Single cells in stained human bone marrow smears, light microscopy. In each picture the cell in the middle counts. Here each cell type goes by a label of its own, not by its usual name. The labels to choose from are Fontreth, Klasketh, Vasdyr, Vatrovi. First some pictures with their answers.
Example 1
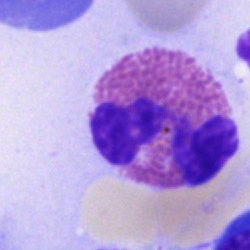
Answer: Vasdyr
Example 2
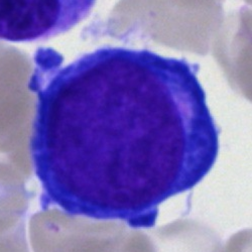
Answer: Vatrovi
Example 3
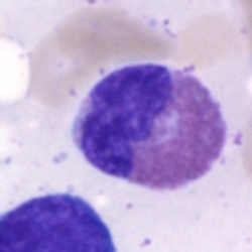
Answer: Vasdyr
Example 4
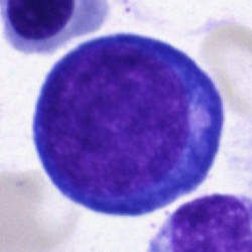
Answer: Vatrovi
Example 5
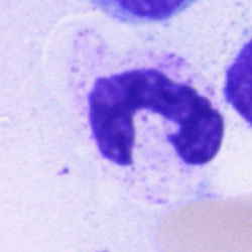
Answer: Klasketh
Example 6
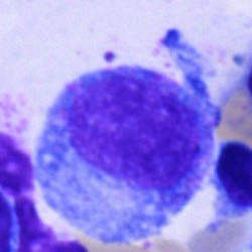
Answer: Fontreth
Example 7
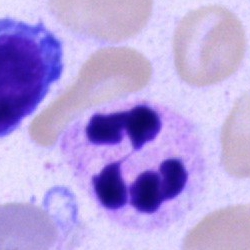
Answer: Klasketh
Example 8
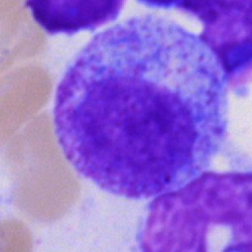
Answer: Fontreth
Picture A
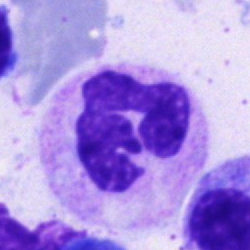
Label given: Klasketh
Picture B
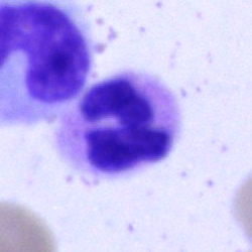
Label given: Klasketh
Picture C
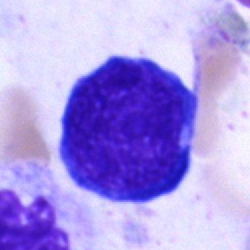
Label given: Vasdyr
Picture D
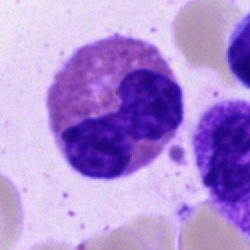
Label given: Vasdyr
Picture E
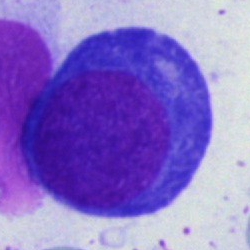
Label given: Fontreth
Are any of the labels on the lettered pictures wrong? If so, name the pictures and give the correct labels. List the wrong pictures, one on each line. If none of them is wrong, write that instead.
C: Vatrovi, not Vasdyr
E: Vatrovi, not Fontreth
